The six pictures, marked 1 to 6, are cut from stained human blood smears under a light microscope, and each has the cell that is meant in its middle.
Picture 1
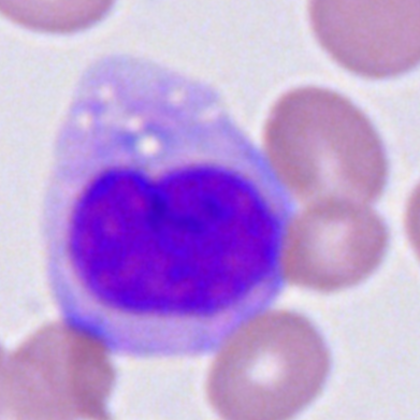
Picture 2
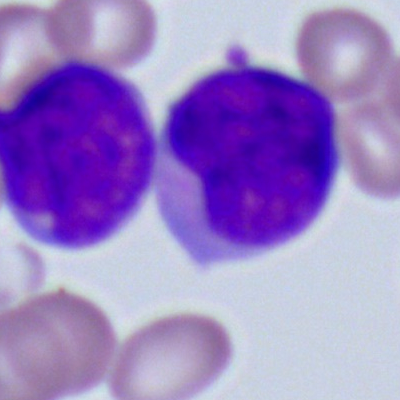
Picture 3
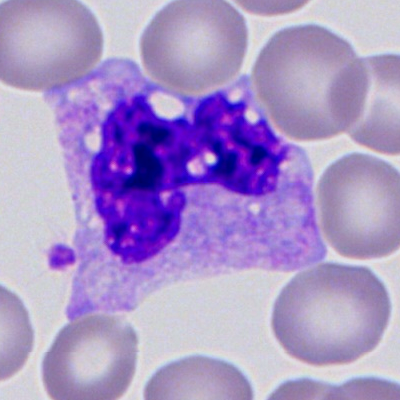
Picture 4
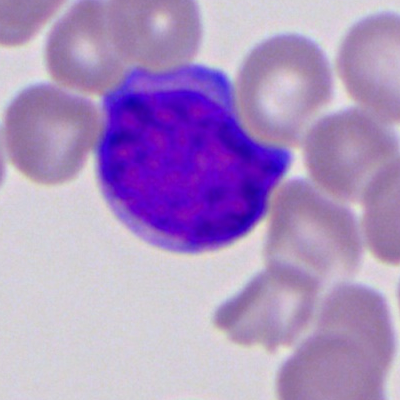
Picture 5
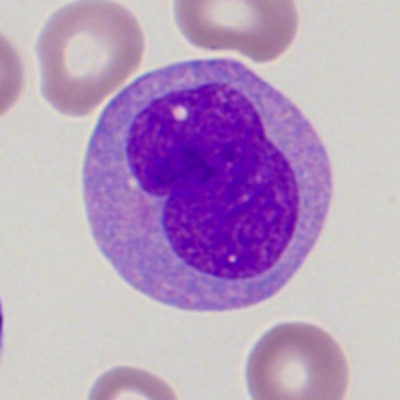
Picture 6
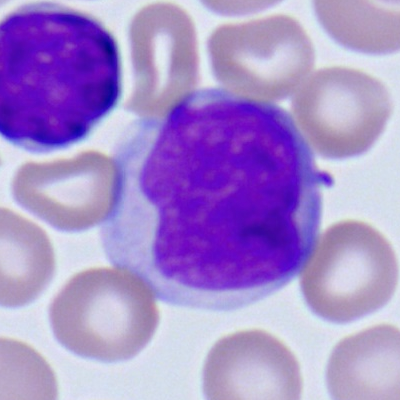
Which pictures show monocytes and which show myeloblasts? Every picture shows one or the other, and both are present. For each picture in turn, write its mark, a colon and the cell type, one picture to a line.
1: monocyte
2: myeloblast
3: monocyte
4: myeloblast
5: myeloblast
6: myeloblast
